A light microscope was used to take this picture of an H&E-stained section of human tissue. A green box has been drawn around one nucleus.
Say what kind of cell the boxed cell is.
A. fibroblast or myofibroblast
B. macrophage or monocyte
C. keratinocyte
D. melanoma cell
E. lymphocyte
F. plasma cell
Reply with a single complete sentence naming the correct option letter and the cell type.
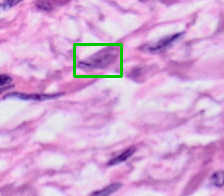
It is option A that correctly calls the boxed cell a fibroblast or myofibroblast.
